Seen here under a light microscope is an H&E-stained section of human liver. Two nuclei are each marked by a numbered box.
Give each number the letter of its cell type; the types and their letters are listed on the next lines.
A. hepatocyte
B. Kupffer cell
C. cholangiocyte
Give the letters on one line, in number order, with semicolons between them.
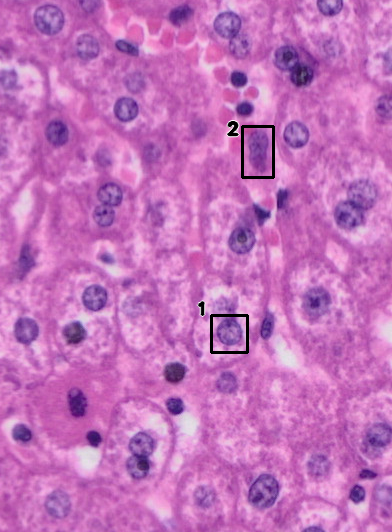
A; B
